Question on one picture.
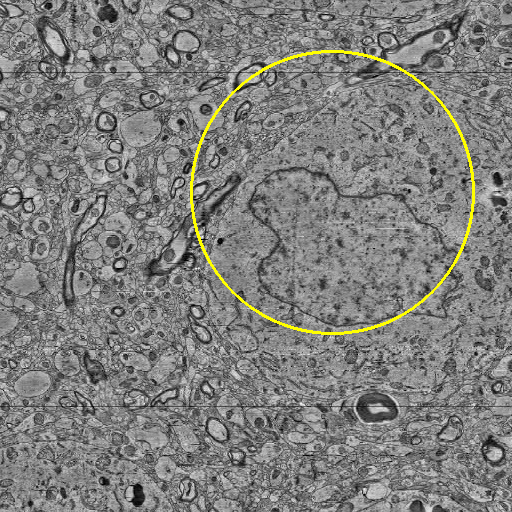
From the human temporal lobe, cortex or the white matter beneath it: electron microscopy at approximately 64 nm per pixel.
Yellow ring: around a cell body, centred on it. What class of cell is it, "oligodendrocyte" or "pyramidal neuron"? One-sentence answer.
This is a pyramidal neuron, the cell the ring is centred on.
